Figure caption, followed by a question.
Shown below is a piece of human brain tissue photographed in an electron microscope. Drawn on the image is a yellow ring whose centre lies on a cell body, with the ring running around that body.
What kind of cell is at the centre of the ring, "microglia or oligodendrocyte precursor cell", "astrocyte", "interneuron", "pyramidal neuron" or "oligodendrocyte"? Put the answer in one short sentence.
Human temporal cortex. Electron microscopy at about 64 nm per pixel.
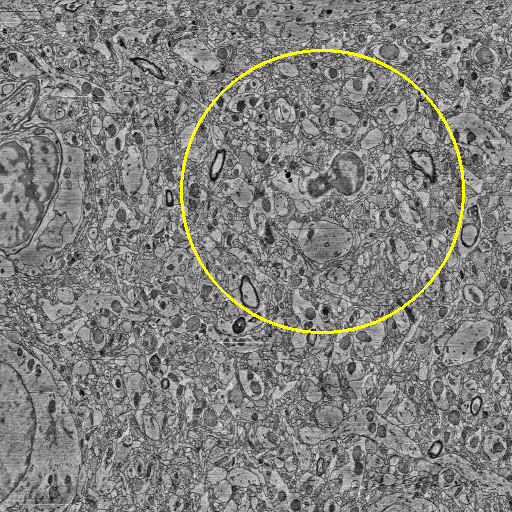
The ring marks the cell body of a microglial cell or oligodendrocyte precursor cell.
